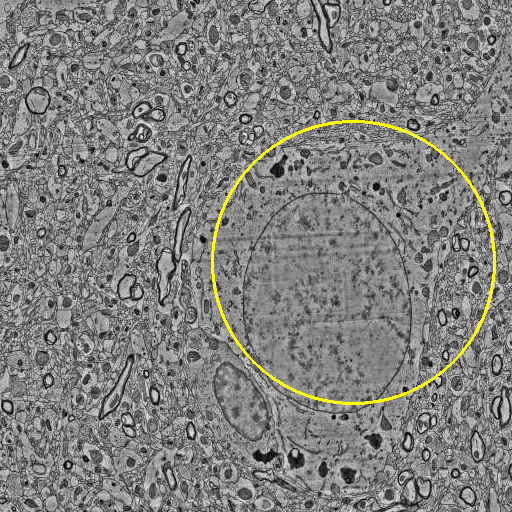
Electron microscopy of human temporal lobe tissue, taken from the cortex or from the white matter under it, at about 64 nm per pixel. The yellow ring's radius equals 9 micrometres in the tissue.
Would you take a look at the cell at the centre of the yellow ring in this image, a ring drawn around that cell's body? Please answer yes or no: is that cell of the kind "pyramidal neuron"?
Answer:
yes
